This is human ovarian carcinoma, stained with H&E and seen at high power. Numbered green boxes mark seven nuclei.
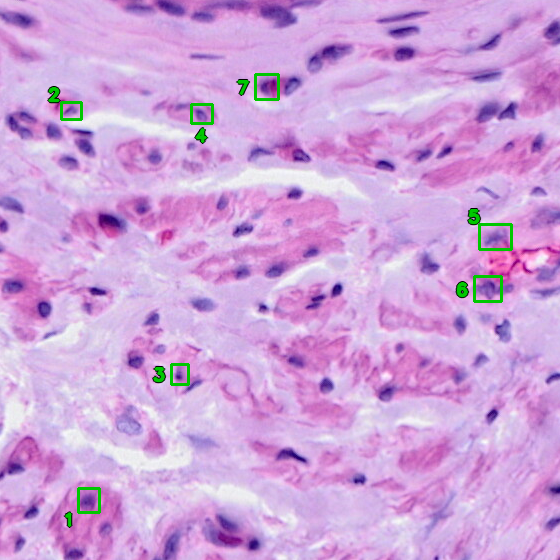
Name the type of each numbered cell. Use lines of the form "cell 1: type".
cell 1: smooth muscle cell
cell 2: endothelial cell
cell 3: smooth muscle cell
cell 4: smooth muscle cell
cell 5: endothelial cell
cell 6: endothelial cell
cell 7: endothelial cell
